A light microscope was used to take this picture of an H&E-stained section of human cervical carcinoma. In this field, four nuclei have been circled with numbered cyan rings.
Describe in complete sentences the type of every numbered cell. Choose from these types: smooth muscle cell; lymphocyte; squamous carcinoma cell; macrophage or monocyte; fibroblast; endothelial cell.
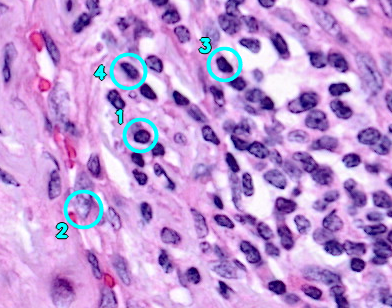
Cells 1, 3 and 4 are lymphocytes. Cell 2 is an endothelial cell.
